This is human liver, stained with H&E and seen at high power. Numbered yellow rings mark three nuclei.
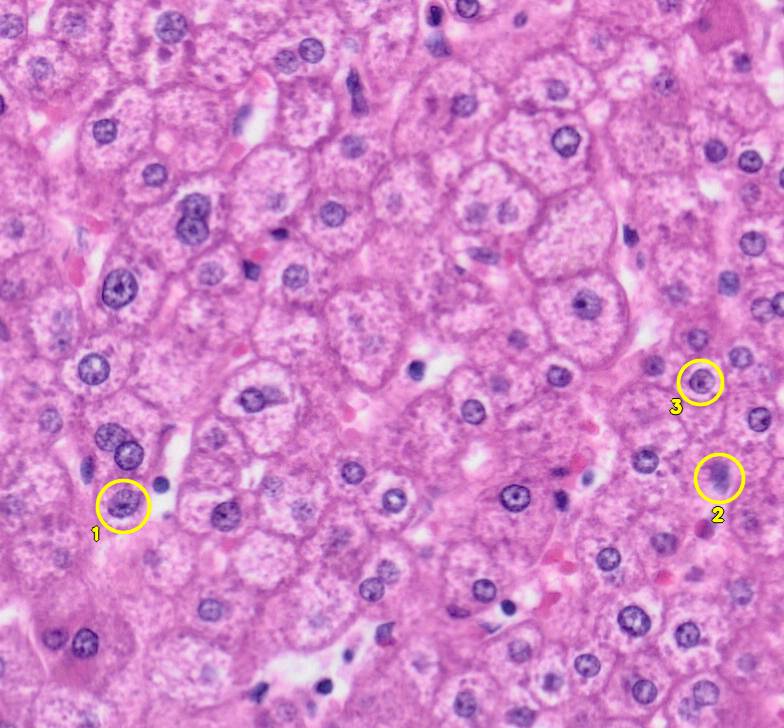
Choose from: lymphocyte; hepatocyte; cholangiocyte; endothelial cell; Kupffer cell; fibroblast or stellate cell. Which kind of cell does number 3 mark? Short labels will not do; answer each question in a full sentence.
Identified by the number 3, the cell is a hepatocyte.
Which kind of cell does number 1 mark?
The nucleus with number 1 is that of a hepatocyte.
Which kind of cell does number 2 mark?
The marked nucleus 2 is that of an endothelial cell.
